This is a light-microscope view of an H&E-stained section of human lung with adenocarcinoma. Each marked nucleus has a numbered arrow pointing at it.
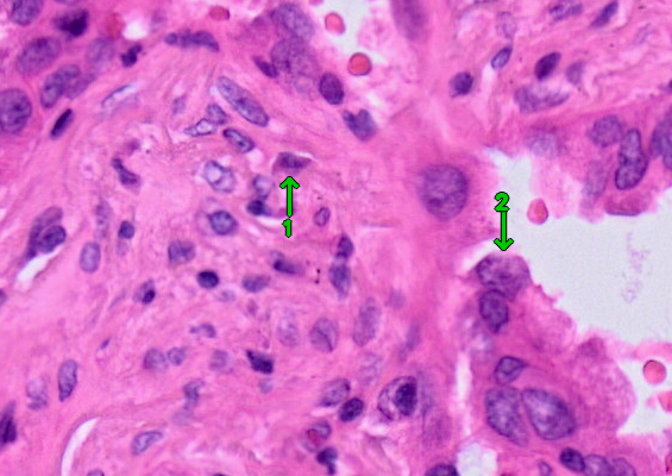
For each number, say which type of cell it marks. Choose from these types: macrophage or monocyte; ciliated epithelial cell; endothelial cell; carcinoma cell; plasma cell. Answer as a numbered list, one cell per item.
1. plasma cell
2. carcinoma cell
